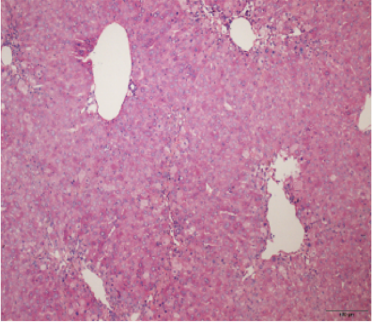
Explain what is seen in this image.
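Liver parenchyma of pink-staining hepatocytes with blue nuclei surrounding several large, irregular vessel lumens. Small dark-blue nuclei gather in streaks and clusters around the vessels and between the hepatocytes, and the tissue looks more purplish and less evenly arranged.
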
